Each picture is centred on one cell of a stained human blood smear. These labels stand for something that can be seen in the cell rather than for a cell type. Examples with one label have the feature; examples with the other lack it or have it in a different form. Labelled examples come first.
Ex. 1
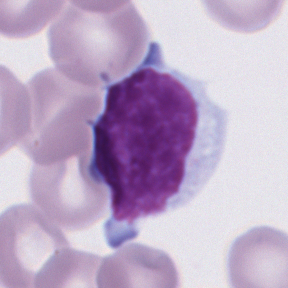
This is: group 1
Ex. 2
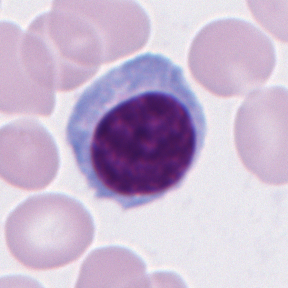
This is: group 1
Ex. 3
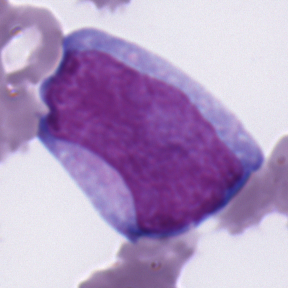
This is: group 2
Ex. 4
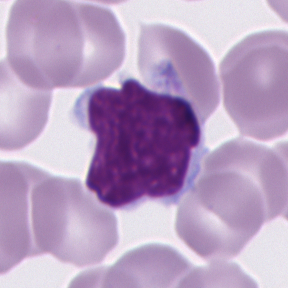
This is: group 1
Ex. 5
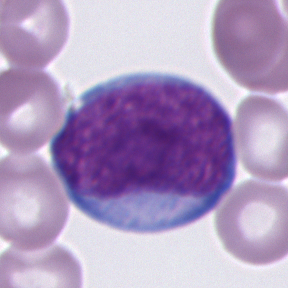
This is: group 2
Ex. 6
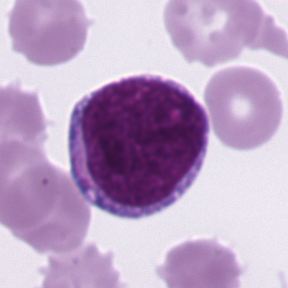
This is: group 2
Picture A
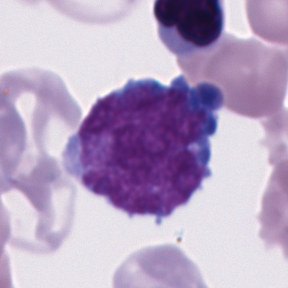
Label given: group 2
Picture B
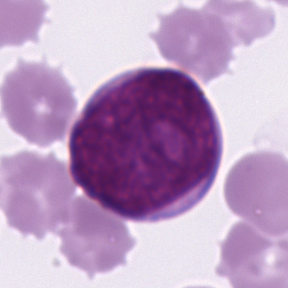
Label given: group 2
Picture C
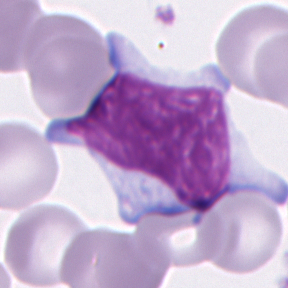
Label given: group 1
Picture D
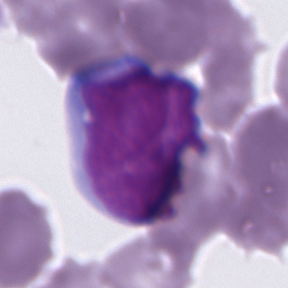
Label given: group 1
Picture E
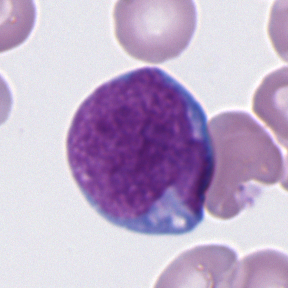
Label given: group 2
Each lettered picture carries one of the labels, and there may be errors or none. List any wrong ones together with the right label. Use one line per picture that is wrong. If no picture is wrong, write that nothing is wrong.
A: change group 2 to group 1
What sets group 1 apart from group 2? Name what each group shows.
group 1, ragged outline or projections; group 2, smooth outline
